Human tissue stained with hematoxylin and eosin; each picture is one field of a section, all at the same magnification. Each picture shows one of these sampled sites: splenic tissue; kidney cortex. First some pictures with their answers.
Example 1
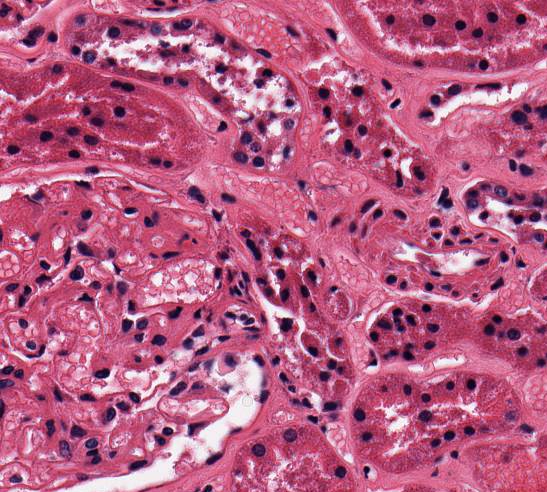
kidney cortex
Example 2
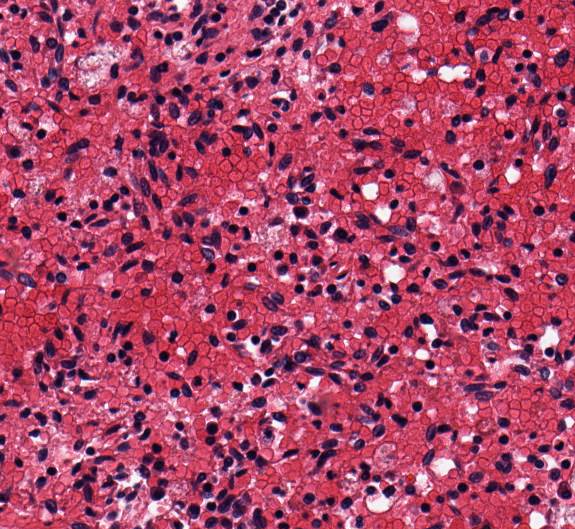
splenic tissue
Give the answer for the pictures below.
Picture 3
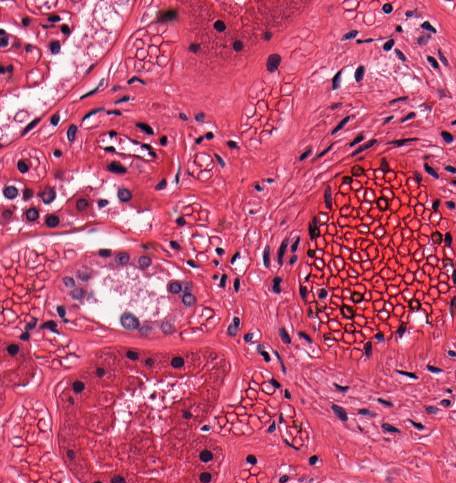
kidney cortex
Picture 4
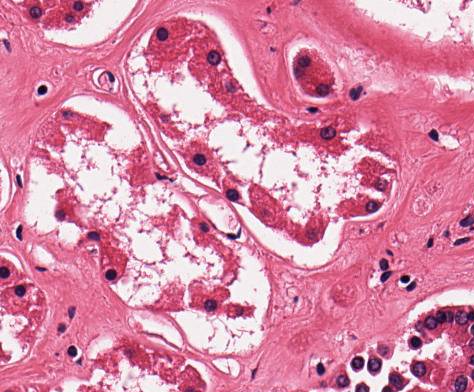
kidney cortex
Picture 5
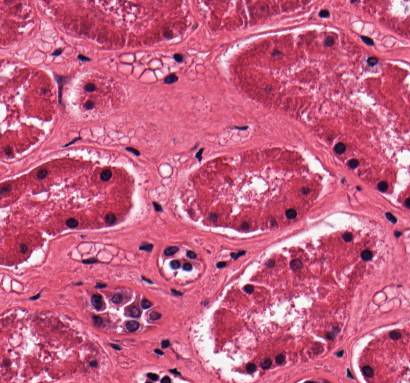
kidney cortex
